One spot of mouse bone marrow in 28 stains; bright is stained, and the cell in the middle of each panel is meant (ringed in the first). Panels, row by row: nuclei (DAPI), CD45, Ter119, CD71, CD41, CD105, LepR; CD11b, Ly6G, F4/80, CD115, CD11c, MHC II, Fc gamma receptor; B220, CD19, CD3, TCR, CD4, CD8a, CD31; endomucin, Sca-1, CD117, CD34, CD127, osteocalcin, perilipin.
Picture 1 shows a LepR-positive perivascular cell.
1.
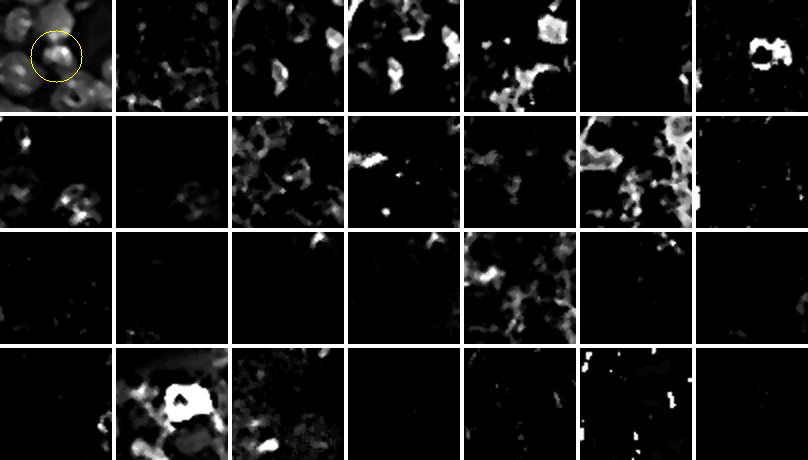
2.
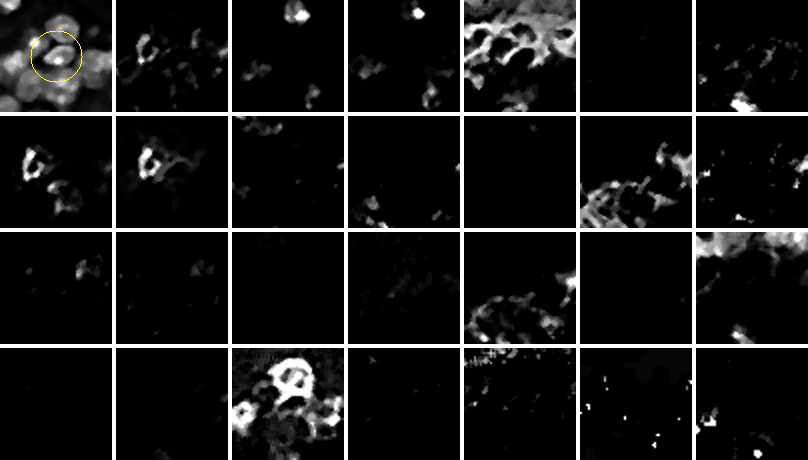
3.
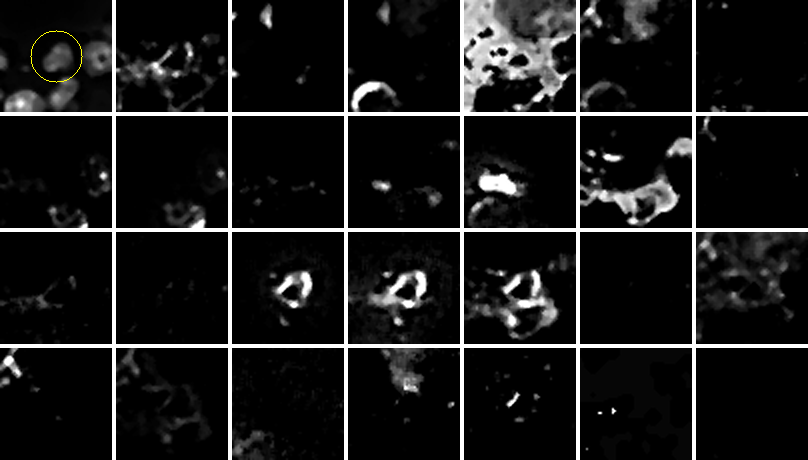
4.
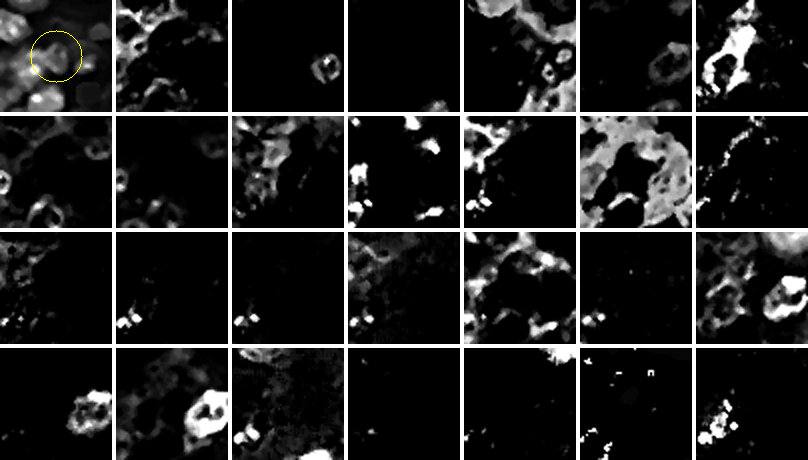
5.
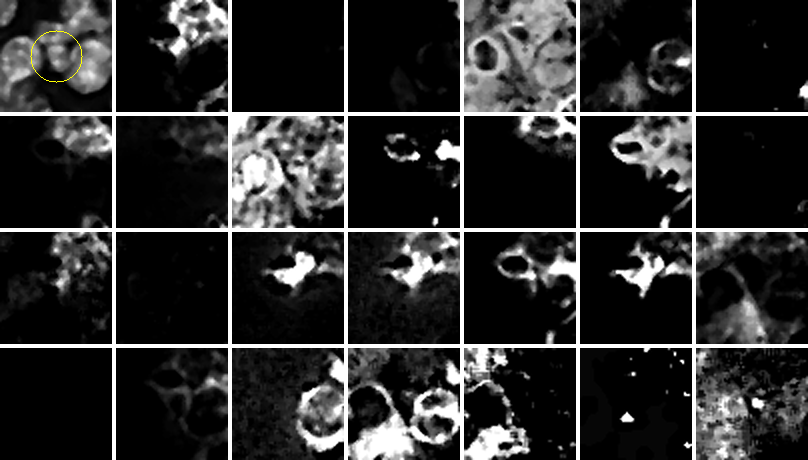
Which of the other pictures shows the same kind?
Picture 4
